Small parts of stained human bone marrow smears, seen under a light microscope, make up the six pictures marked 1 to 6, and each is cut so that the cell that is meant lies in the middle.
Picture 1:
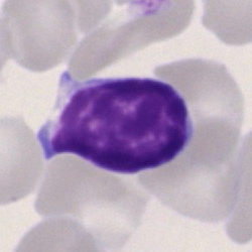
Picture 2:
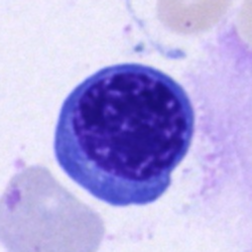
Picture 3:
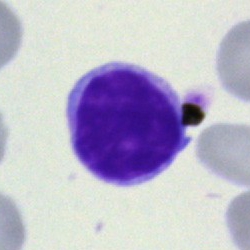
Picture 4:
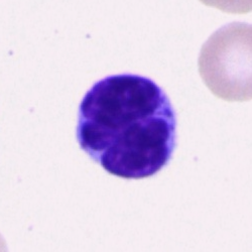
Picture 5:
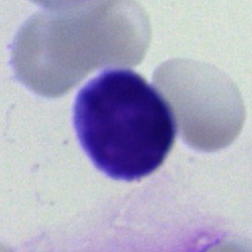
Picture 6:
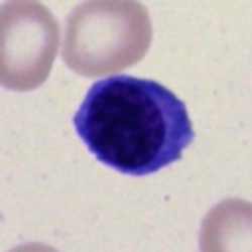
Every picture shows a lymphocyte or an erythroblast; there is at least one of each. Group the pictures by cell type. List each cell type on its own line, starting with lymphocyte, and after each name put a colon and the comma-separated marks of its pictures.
lymphocyte: 1, 3, 4, 5
erythroblast: 2, 6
